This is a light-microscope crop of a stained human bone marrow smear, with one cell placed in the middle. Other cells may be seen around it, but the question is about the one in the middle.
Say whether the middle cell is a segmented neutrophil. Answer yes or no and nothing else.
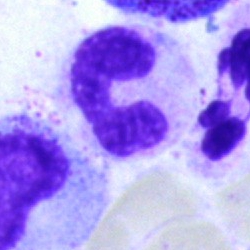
no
